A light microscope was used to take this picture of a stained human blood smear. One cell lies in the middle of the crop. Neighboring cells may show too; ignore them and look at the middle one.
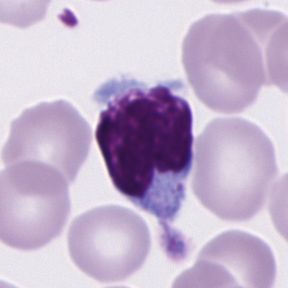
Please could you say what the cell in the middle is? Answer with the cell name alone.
typical lymphocyte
